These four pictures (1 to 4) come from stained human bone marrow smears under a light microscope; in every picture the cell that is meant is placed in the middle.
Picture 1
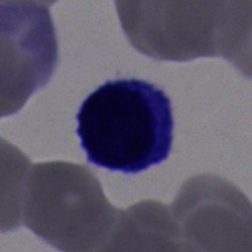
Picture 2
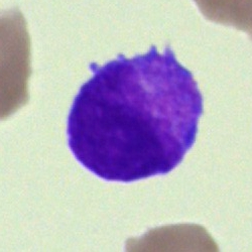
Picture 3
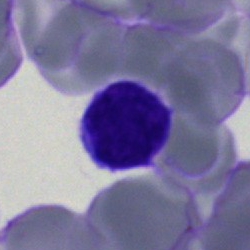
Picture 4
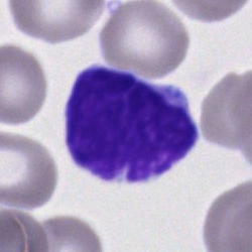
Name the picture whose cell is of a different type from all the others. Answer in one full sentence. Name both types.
Picture 2 is the odd one out: it shows a blast, while the others show lymphocytes.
